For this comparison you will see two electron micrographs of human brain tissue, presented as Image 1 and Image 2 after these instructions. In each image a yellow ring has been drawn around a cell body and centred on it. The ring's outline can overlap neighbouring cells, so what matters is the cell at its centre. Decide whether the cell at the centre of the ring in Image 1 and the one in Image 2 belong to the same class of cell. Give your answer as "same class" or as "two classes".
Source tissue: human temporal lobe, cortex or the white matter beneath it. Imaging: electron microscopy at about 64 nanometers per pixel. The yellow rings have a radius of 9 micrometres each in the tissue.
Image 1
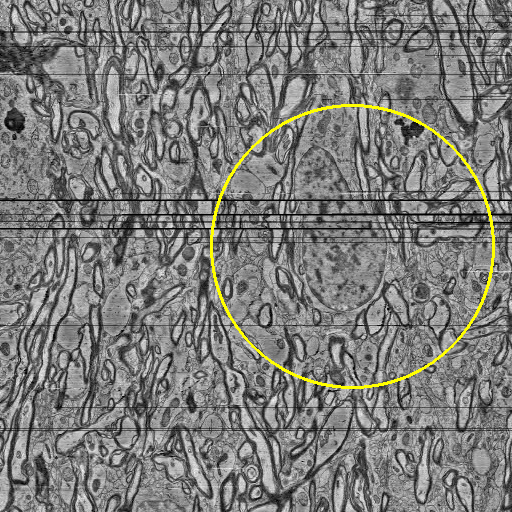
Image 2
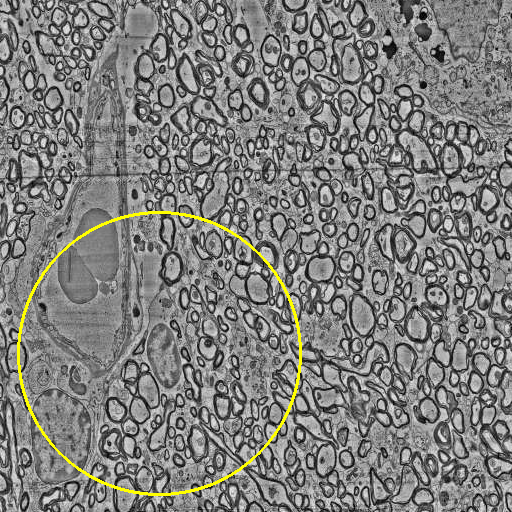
same class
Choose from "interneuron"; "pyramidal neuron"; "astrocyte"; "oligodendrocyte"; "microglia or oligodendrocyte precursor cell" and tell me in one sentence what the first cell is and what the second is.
Each of the two rings is centred on a microglial cell or oligodendrocyte precursor cell.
